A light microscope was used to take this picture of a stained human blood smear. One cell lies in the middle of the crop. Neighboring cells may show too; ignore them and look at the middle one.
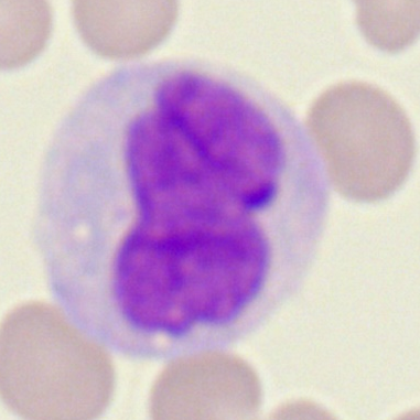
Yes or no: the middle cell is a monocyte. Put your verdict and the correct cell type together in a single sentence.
Yes, what sits in the middle of the crop is a monocyte.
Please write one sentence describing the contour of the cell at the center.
You can see a smooth boundary, with no projections sticking out.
